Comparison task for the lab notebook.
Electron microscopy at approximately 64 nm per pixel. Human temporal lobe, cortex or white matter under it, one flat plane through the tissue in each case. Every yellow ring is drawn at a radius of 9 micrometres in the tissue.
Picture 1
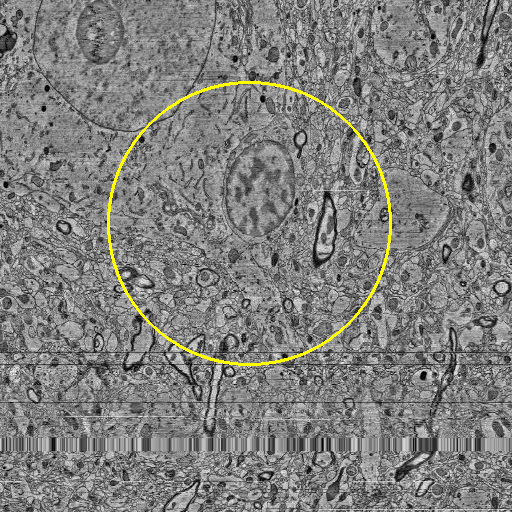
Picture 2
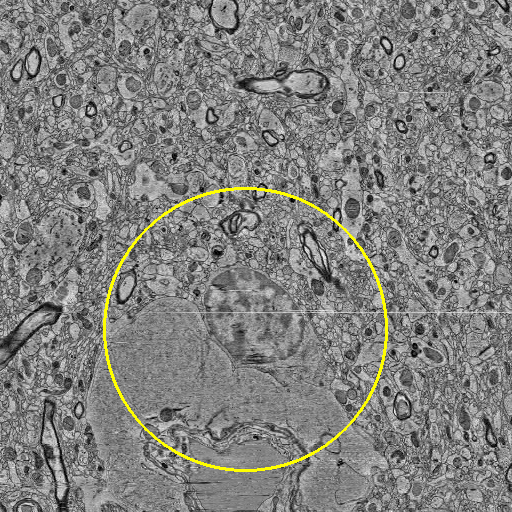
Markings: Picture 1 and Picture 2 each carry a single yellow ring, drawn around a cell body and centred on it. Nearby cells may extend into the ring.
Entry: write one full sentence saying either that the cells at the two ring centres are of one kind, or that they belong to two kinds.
The cells sitting at the ring centres in Picture 1 and Picture 2 are of one kind.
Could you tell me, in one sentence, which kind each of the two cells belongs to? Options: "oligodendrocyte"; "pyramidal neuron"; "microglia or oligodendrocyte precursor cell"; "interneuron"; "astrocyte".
The second cell is an oligodendrocyte, just as the first is.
